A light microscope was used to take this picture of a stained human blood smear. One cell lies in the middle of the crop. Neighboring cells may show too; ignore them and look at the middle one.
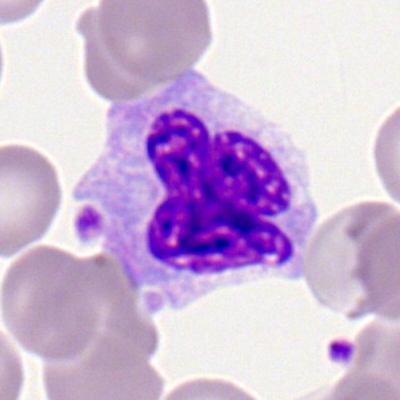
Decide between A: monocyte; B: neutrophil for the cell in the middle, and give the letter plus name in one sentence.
Here the central cell is a monocyte, and option A is correct.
